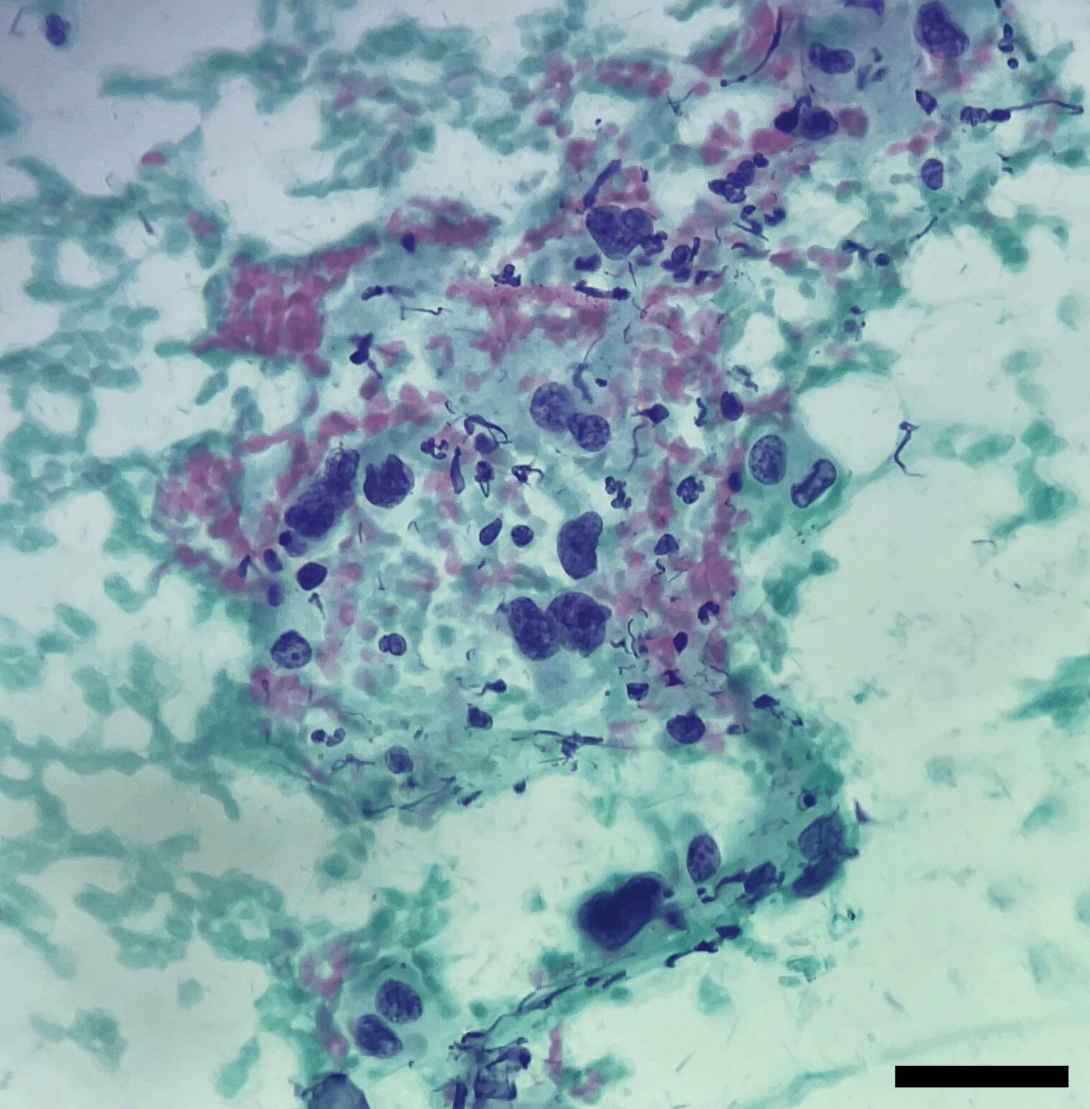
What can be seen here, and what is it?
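This smear shows a loose, disorganized cluster of highly pleomorphic tumor cells set among red blood cells. The tumor nuclei vary greatly in size and shape, from small round forms to very large, lobed or folded nuclei with irregular outlines. The chromatin is dark blue and coarsely granular. The cytoplasm is pale blue-green, ill-defined and merges with the surrounding background. Red blood cells stain pink-red and are scattered through the cluster. Small dark fragments of nuclear debris are also present.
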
